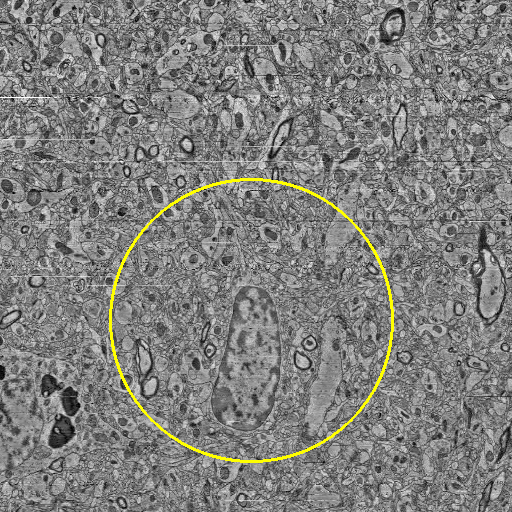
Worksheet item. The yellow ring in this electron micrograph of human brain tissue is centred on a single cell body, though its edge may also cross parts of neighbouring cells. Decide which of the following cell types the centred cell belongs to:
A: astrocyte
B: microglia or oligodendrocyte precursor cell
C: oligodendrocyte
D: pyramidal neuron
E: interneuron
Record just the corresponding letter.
B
